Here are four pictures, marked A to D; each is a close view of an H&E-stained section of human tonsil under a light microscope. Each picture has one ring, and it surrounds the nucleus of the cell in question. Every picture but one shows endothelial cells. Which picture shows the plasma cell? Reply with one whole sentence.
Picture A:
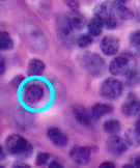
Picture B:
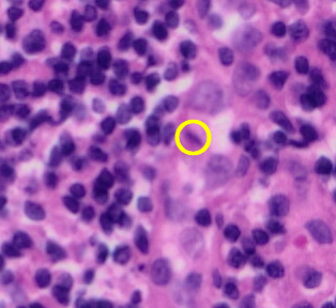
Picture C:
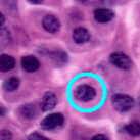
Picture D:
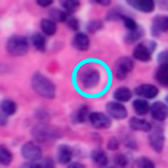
The picture with the plasma cell is C.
